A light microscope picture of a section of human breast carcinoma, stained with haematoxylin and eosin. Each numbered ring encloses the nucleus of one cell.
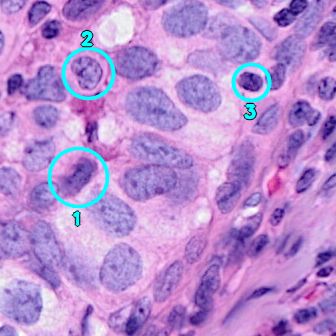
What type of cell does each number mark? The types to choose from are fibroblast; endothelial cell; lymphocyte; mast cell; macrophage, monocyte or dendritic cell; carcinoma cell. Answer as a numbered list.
1. carcinoma cell
2. carcinoma cell
3. lymphocyte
